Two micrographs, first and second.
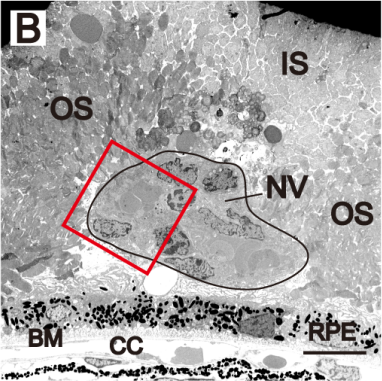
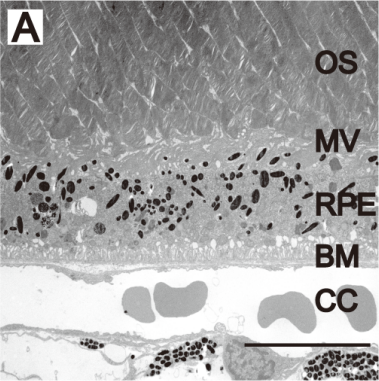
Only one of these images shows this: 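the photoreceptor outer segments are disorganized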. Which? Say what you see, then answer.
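The first image. First image: outer segments are fragmented and irregularly oriented around a vessel-containing mass. Second image: outer segments are packed in parallel, regular array above the pigment layer.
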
